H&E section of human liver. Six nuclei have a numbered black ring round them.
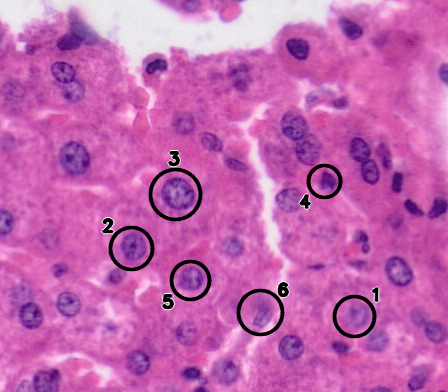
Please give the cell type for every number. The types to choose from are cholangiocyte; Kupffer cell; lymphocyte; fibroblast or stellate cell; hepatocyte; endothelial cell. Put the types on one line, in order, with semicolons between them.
hepatocyte; hepatocyte; hepatocyte; endothelial cell; hepatocyte; Kupffer cell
